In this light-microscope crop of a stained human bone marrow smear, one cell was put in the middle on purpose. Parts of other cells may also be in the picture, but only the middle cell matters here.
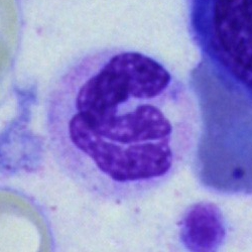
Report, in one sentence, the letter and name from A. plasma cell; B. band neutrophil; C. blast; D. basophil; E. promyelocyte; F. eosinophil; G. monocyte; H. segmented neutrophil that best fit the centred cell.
The cell occupying the centre is a segmented neutrophil; option H is thus the correct choice.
